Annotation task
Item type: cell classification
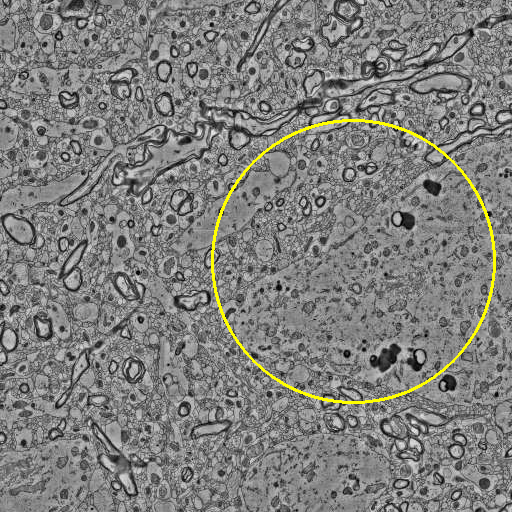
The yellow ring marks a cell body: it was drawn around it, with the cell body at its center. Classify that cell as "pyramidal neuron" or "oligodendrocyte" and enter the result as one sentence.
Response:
The ring's center falls on an oligodendrocyte.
